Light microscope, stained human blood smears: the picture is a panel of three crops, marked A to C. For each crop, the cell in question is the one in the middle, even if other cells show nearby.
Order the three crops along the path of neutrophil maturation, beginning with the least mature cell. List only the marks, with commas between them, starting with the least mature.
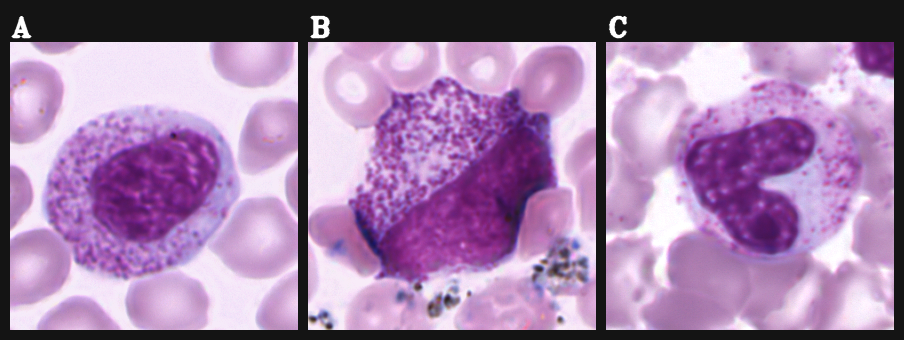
B, A, C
